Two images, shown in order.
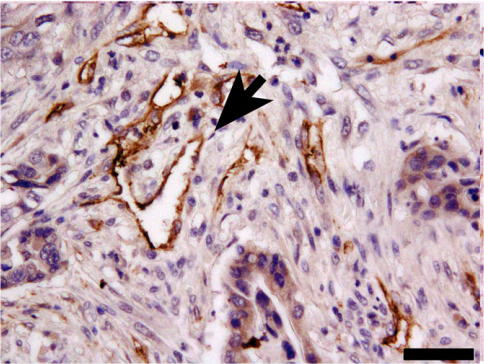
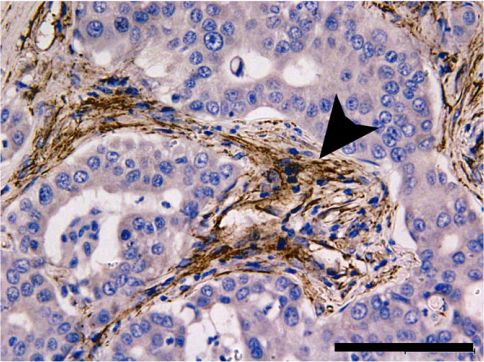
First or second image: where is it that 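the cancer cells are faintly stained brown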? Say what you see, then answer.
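Second image: the glandular tumor cells have pale bluish-grey cytoplasm without brown tint. First image: the tumor cell groups show a light brownish tint in their cytoplasm. So: the first image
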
